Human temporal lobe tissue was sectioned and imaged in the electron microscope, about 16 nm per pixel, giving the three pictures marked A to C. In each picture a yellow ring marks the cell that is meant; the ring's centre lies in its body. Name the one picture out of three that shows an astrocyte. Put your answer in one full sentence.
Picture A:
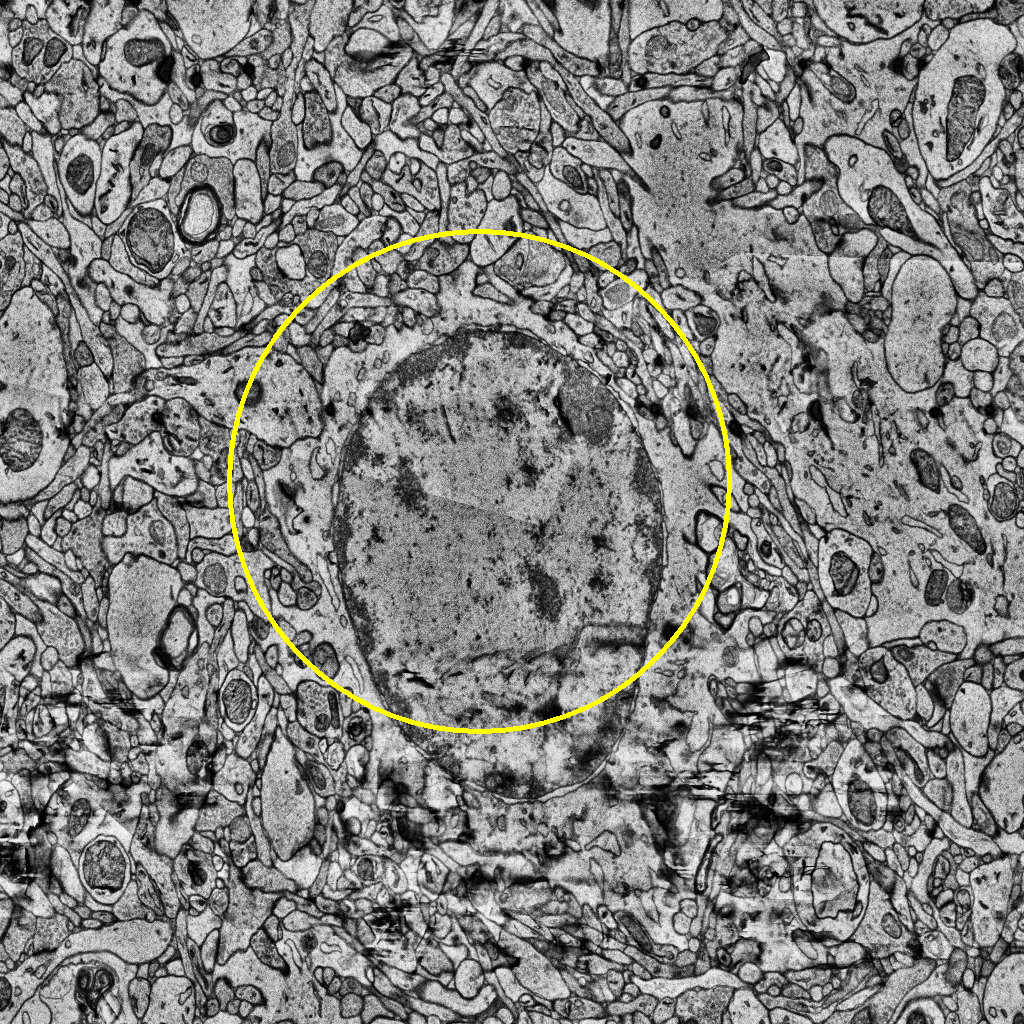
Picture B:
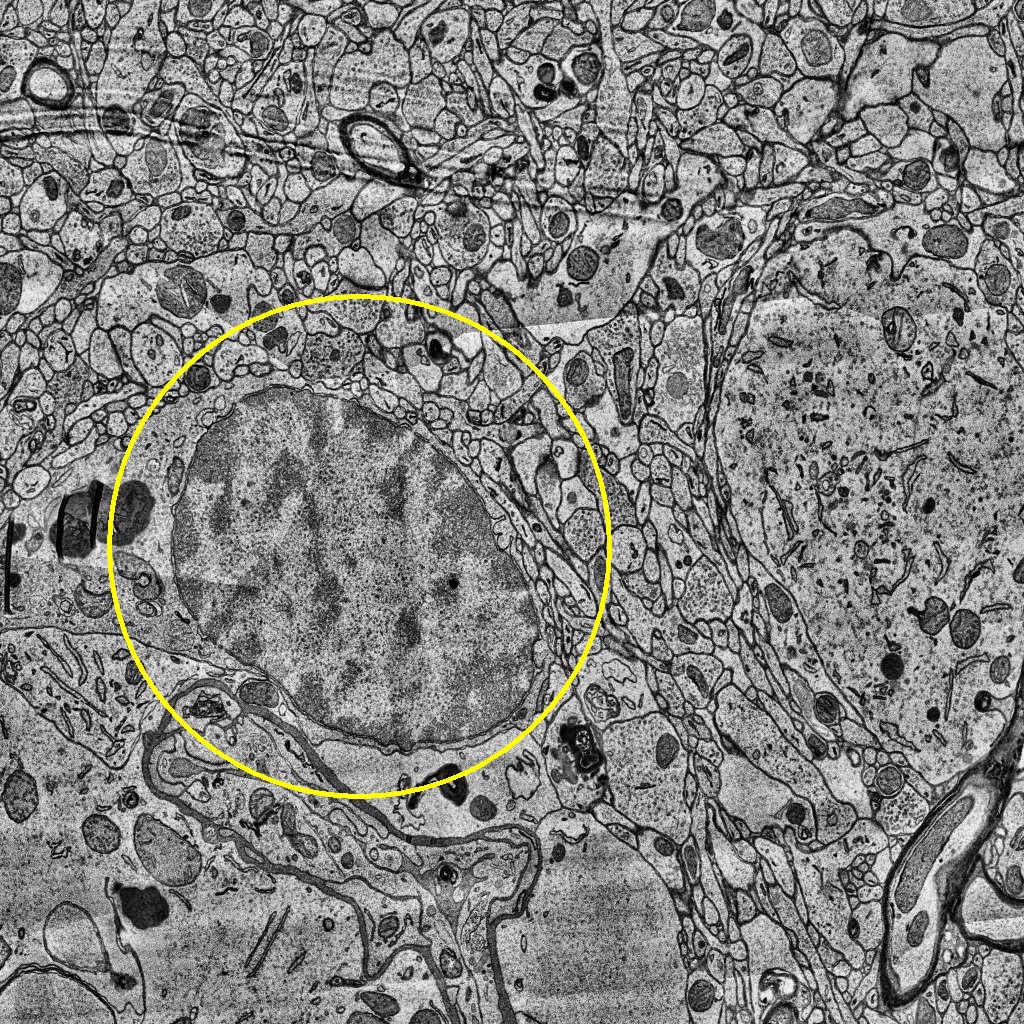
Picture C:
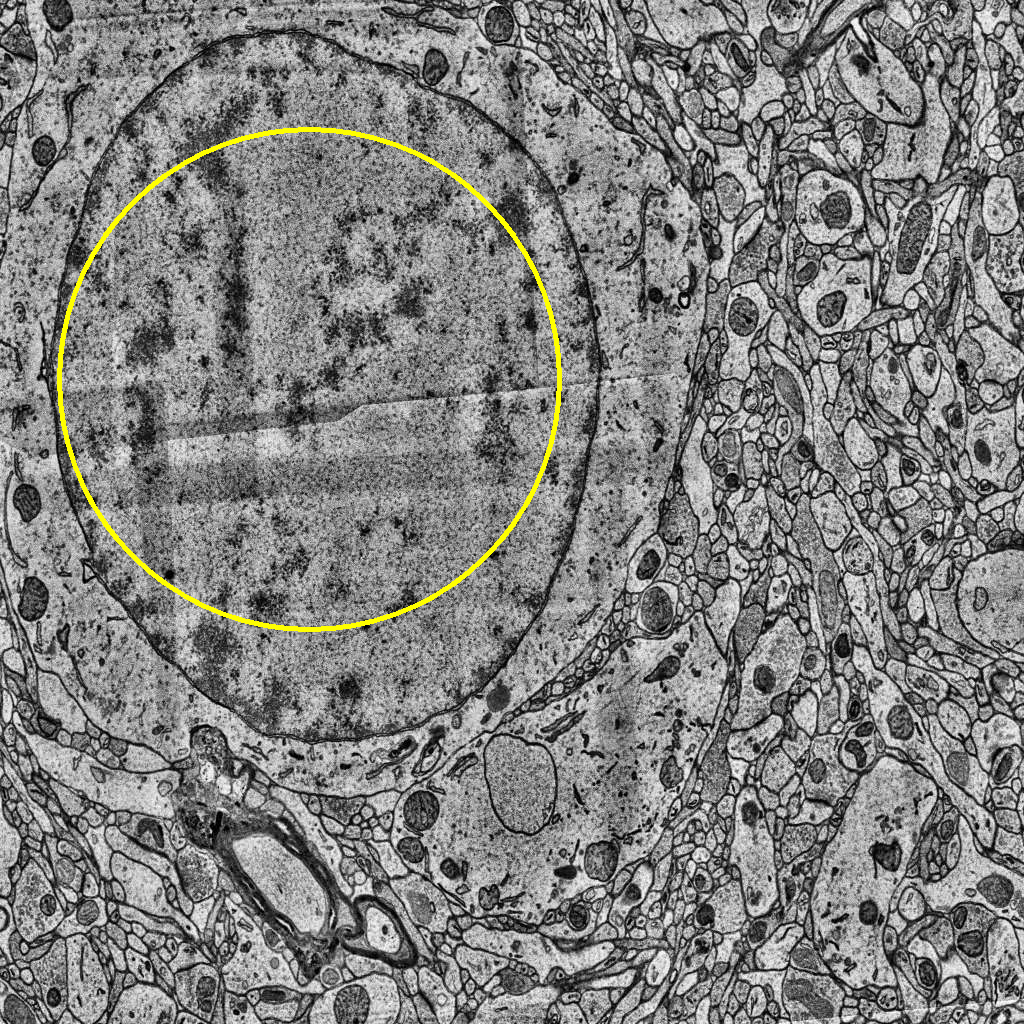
Picture A shows the astrocyte.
